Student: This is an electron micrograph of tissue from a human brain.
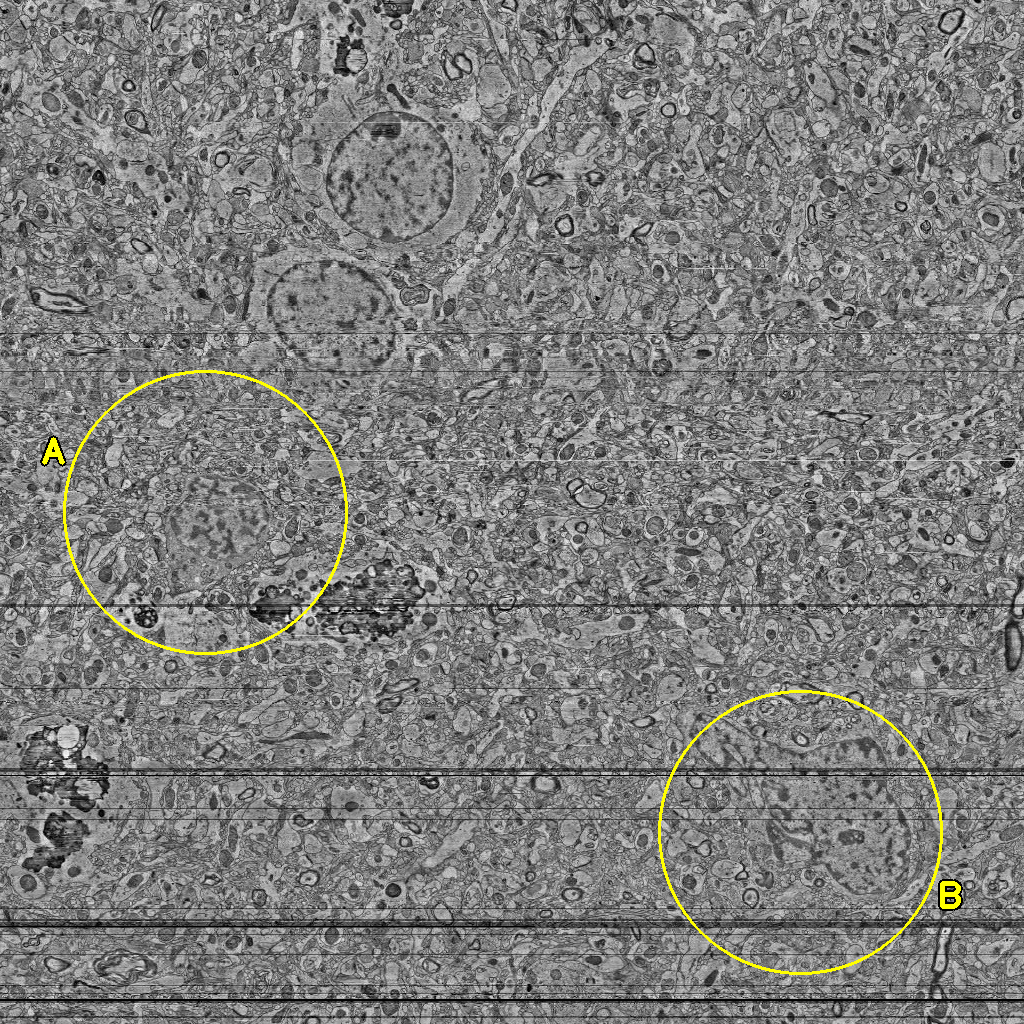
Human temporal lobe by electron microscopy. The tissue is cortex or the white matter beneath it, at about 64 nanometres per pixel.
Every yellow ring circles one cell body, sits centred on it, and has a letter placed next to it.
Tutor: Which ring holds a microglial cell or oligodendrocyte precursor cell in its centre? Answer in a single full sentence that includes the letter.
Ring B is the ring whose centre holds the cell asked for in the picture.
